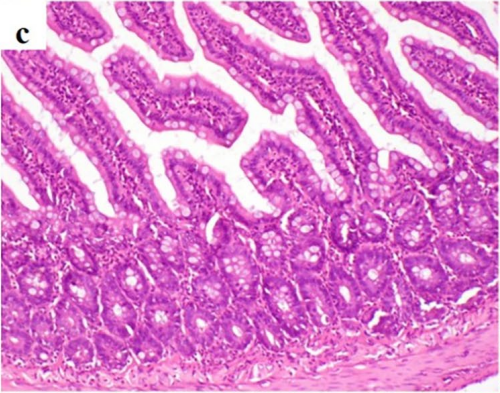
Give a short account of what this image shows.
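This is intestinal mucosa with slender, regular villi lined by columnar epithelium in which pale goblet cells are interspersed. Below the villi, crypts are cut in cross section as rings of epithelium with pale goblet cells around small lumens, resting on a thin pink muscle layer. The spaces between the villi are clear.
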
